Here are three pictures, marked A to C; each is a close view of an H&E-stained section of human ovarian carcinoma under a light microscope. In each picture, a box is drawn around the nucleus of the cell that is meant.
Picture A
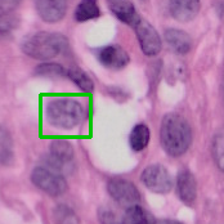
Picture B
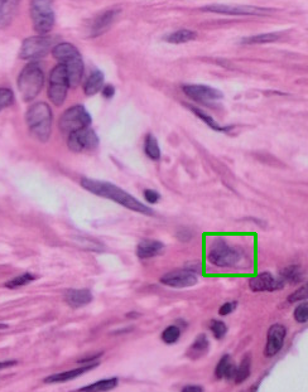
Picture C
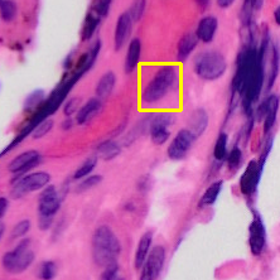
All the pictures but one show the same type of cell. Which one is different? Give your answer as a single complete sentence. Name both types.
The different one is picture A; it shows a “macrophage or monocyte”, whereas all the others show endothelial cells.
